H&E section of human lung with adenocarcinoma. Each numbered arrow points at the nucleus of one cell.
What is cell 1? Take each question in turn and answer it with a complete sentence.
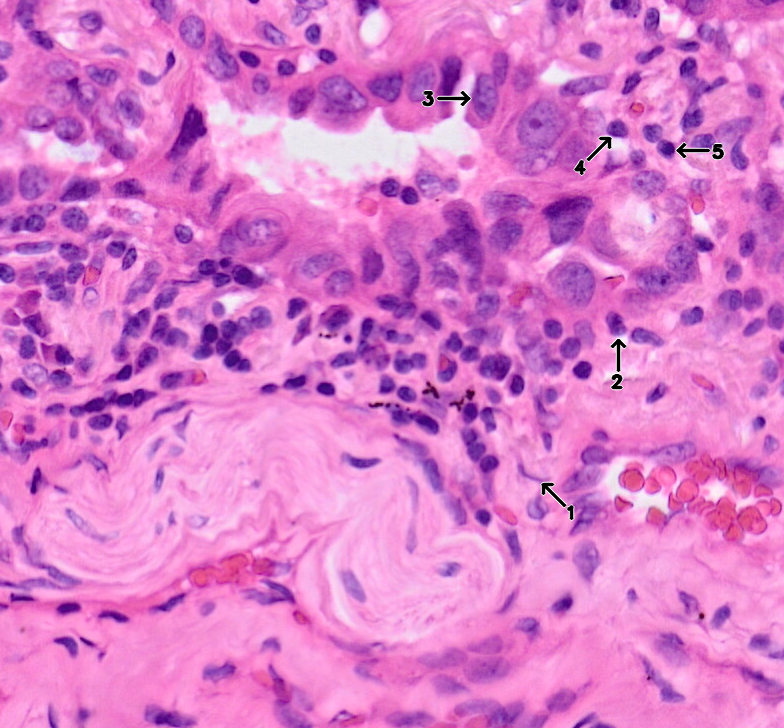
It is as a fibroblast that the cell numbered 1 is identified.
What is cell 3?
The cell indicated by marker 3 is a carcinoma cell in this section.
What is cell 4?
The marked cell with the number 4 is recognised as a lymphocyte.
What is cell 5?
The cell bearing label 5 corresponds to a lymphocyte.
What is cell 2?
In this section, the cell numbered 2 is a lymphocyte.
